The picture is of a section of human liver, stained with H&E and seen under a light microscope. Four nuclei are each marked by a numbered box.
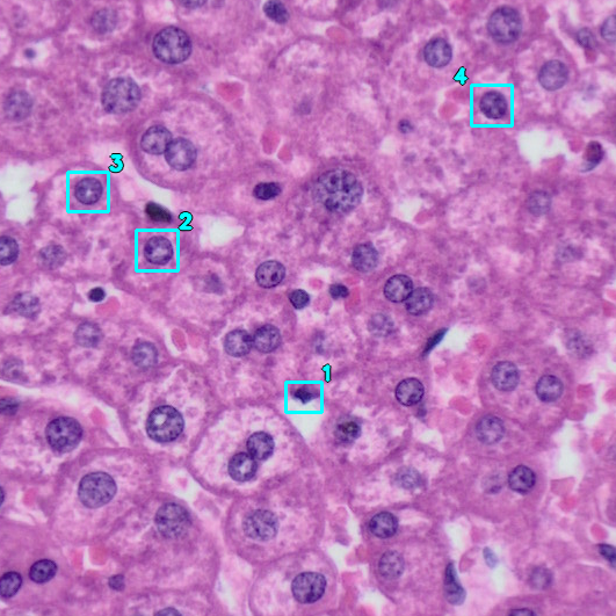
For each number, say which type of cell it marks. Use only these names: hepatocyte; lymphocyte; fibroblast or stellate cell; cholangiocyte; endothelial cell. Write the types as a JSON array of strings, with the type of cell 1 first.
["endothelial cell", "hepatocyte", "hepatocyte", "hepatocyte"]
